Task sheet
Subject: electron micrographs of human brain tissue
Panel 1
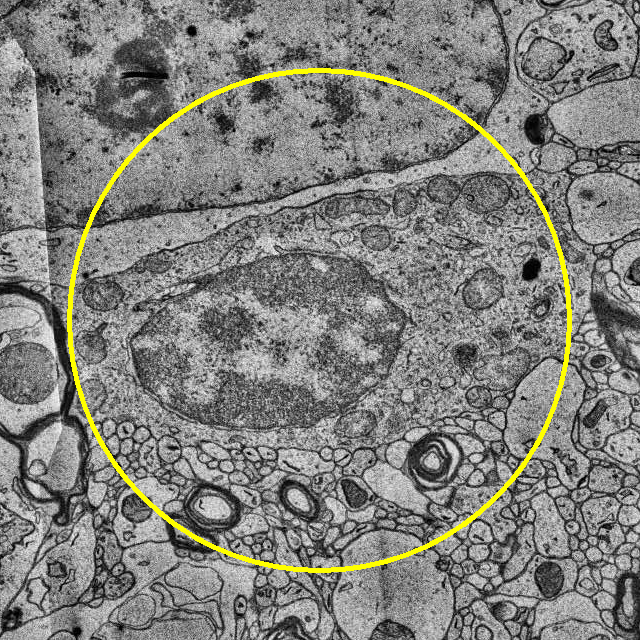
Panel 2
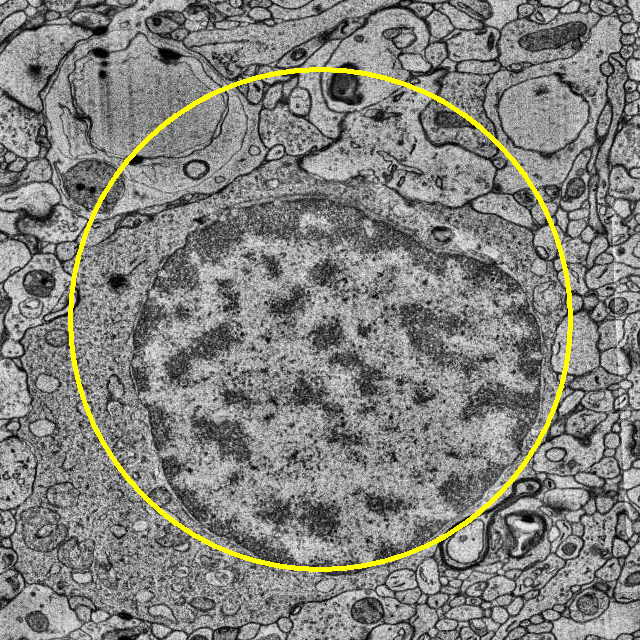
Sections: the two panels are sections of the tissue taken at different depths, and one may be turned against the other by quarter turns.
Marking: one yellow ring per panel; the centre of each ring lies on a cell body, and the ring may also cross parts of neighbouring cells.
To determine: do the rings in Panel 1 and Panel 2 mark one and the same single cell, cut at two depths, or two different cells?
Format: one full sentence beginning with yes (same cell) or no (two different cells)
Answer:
No, each of the two rings holds a different cell.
